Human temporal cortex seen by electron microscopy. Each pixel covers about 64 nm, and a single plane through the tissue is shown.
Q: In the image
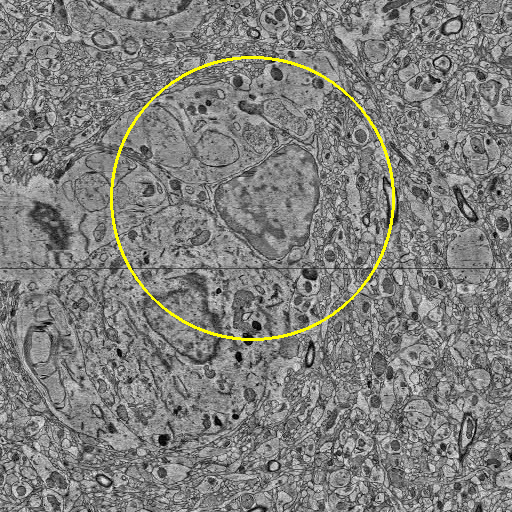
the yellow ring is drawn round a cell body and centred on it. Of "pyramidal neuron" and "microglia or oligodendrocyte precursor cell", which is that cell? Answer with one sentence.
The cell centred in the ring is a microglial cell or oligodendrocyte precursor cell.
